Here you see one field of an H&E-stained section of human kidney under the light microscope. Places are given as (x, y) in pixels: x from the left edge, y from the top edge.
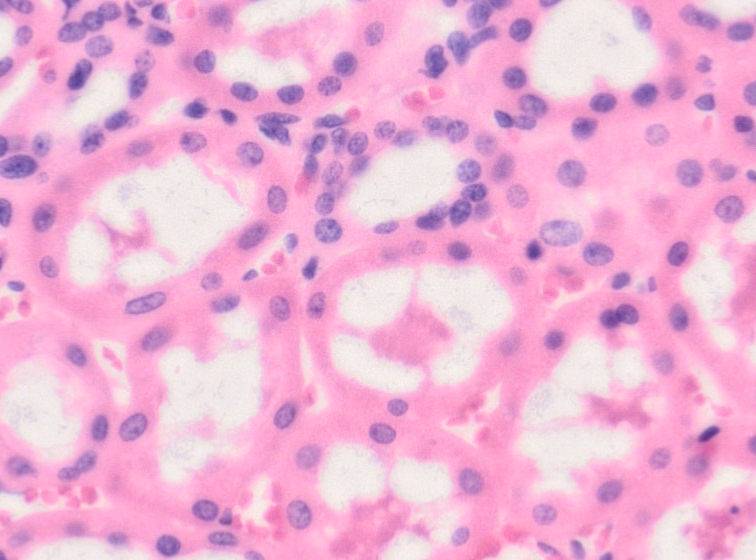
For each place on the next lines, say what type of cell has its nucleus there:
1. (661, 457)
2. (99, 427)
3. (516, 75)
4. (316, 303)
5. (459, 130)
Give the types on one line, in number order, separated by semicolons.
proximal tubule cell; collecting duct cell; loop of Henle or distal tubule cell; proximal tubule cell; collecting duct cell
